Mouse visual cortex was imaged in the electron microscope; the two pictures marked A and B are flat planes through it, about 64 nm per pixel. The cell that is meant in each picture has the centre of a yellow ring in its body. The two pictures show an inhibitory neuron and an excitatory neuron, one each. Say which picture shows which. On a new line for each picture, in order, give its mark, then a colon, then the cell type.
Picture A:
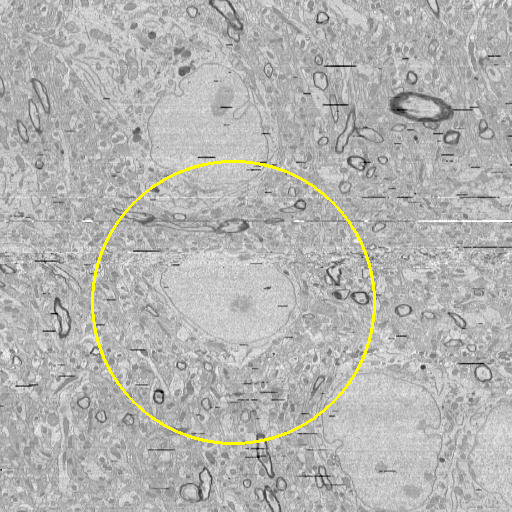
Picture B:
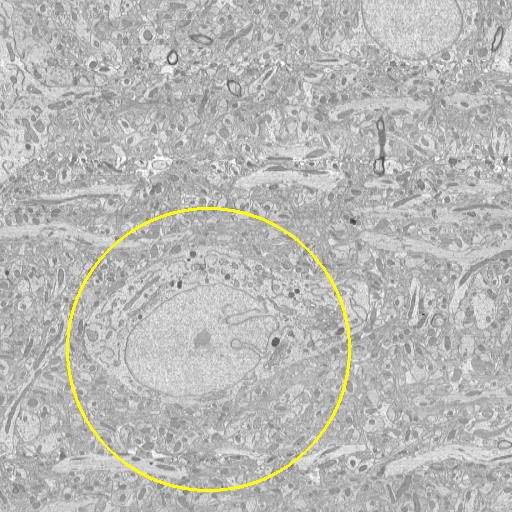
A: excitatory neuron
B: inhibitory neuron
